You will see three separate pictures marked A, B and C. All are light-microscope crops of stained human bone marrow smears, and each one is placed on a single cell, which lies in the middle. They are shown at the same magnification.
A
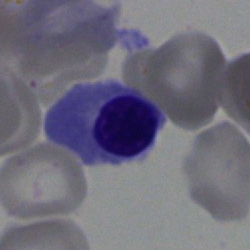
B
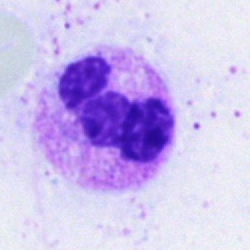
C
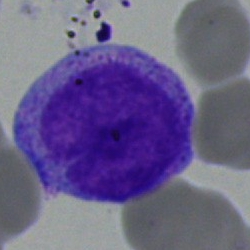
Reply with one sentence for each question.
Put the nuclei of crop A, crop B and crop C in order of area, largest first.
The order is C, B, A, beginning with the largest.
